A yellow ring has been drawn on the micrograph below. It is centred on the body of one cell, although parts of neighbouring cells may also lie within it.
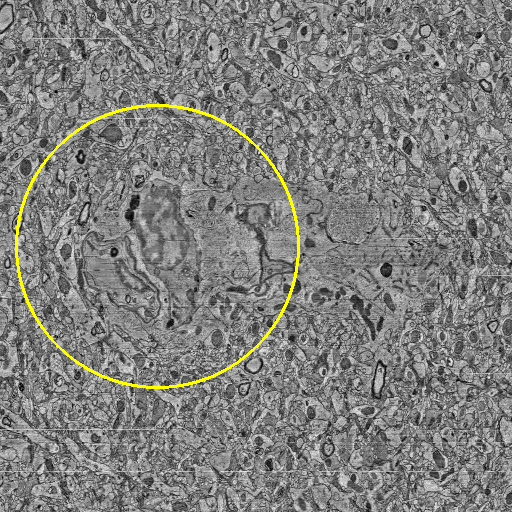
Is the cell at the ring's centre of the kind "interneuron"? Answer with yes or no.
no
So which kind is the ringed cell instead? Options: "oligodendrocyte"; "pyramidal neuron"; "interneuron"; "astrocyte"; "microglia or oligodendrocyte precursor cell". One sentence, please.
In this picture, the ring is centred on an oligodendrocyte.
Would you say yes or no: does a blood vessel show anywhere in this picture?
Yes.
